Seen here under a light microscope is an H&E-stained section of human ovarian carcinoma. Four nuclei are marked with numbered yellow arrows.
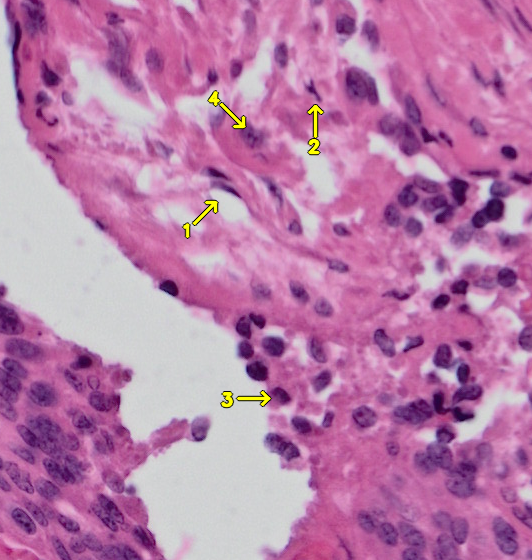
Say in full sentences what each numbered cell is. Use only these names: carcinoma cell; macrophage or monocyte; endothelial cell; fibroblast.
Cell 1 is a fibroblast, cell 2 is a fibroblast, cell 3 is a macrophage or monocyte and cell 4 is a fibroblast.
